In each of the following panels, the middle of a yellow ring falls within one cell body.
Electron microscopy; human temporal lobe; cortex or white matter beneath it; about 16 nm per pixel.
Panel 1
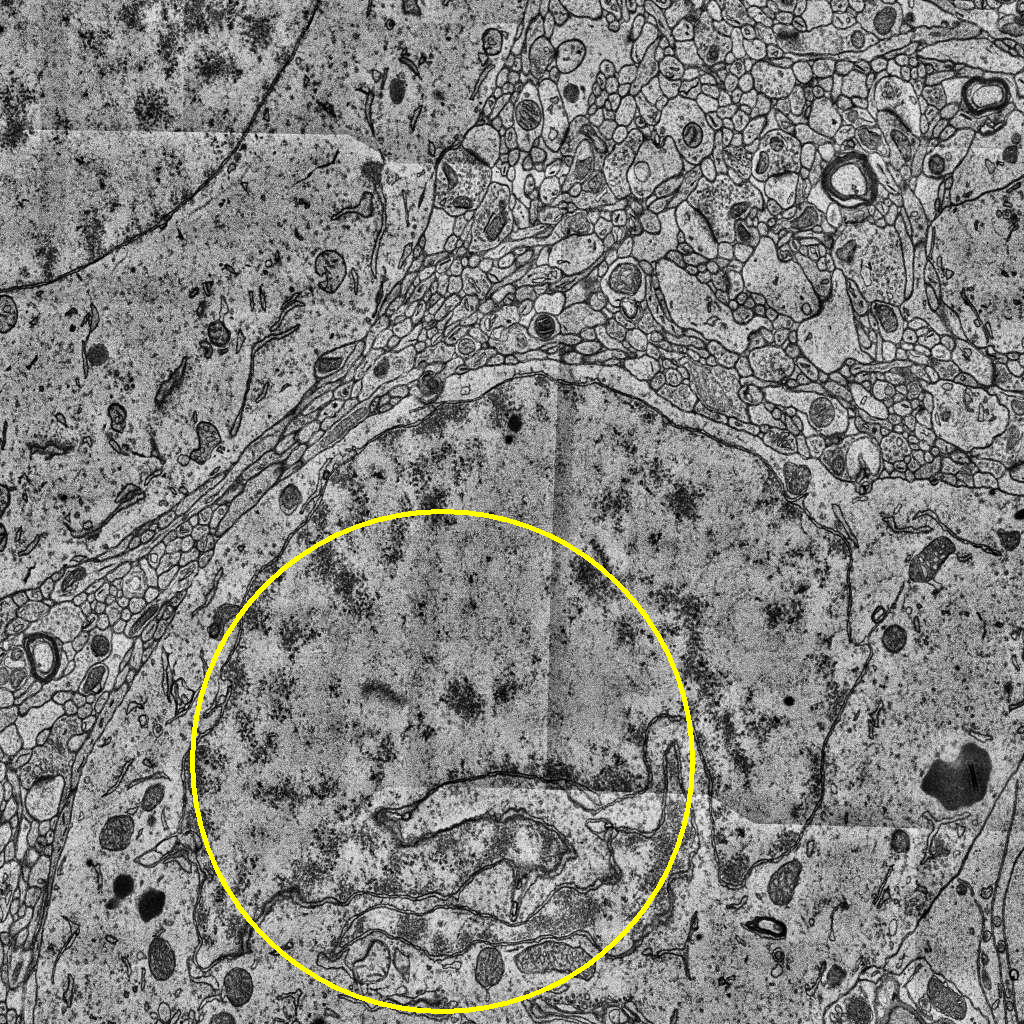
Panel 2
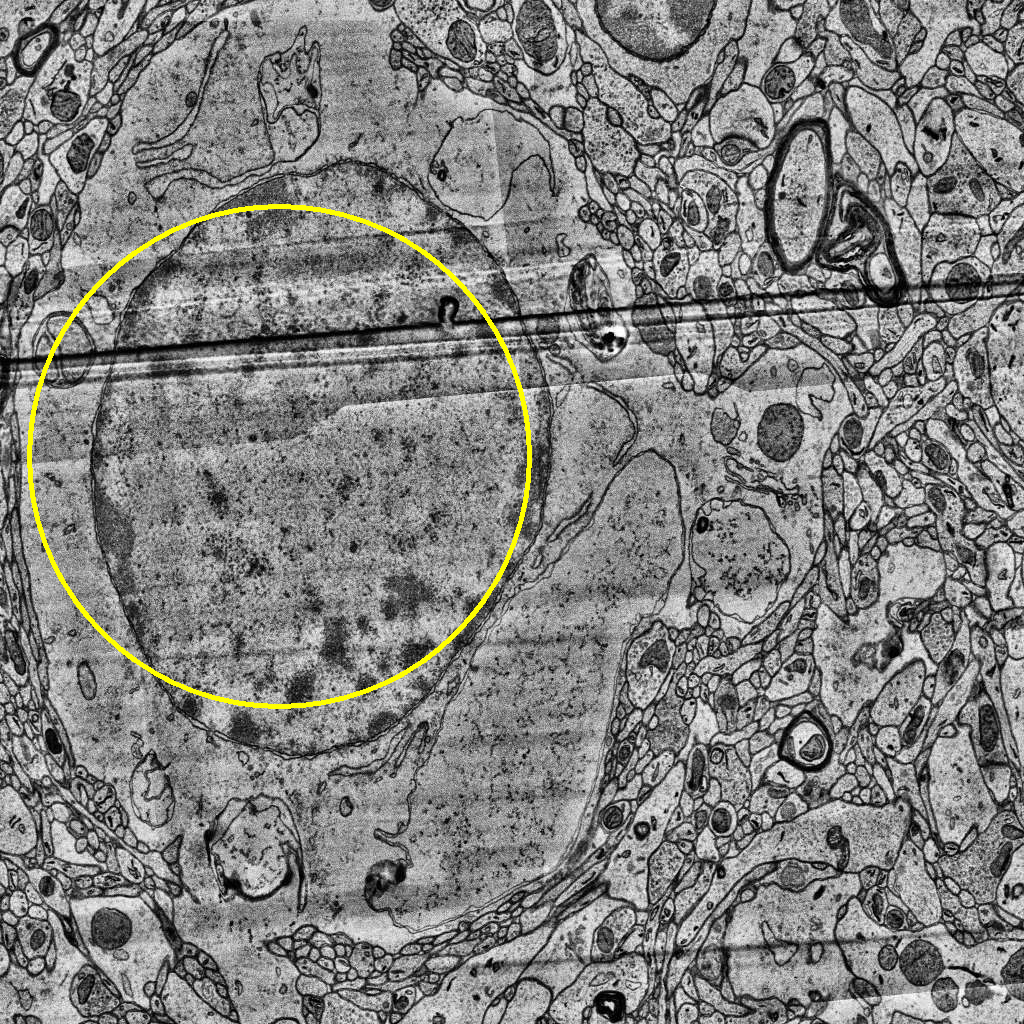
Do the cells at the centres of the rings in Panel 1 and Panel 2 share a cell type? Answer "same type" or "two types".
two types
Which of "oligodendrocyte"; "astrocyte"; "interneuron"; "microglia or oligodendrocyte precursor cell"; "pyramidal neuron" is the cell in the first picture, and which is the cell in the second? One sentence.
The second cell is an astrocyte, and the first cell is an interneuron.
